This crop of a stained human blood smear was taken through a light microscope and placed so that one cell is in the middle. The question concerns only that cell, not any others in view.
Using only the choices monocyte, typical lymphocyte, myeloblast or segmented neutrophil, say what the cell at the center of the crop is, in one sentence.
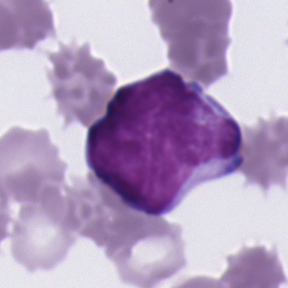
Positioned in the middle of the crop is a myeloblast.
